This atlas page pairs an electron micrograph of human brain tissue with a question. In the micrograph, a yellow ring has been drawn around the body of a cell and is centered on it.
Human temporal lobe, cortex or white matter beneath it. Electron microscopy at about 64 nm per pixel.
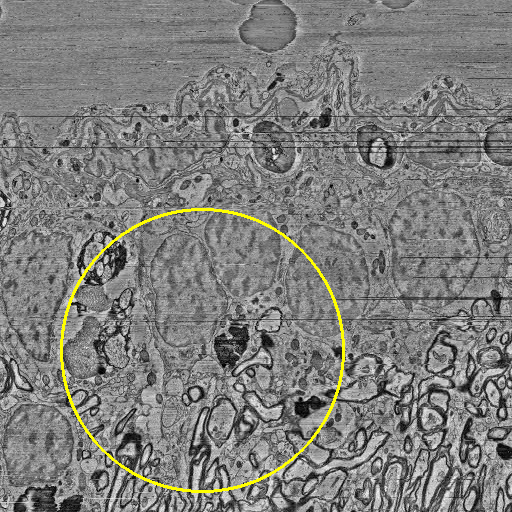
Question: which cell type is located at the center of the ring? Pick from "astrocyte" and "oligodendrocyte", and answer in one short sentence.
Located at the center of the ring is an oligodendrocyte.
